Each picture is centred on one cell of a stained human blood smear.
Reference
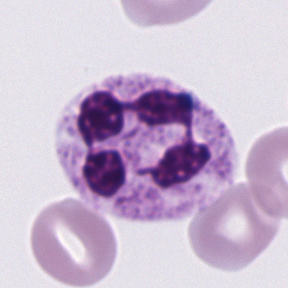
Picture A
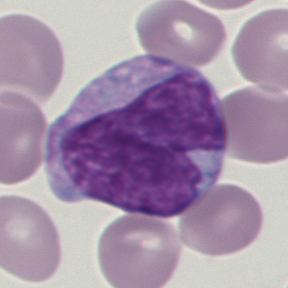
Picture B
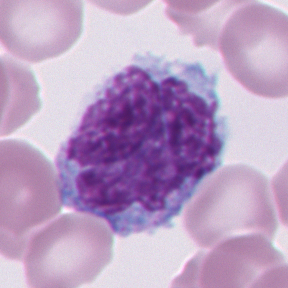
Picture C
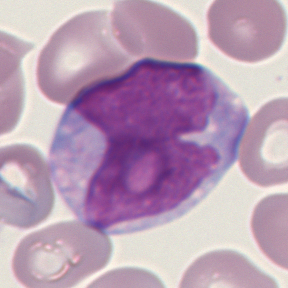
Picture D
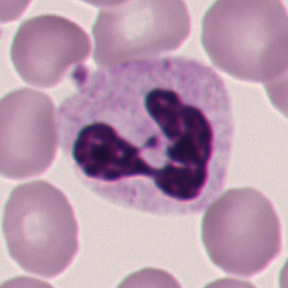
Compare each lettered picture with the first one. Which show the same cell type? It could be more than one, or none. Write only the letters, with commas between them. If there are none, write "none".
D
